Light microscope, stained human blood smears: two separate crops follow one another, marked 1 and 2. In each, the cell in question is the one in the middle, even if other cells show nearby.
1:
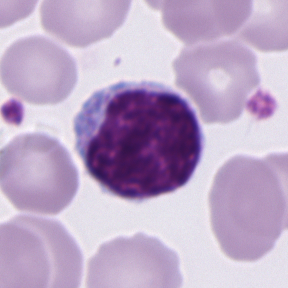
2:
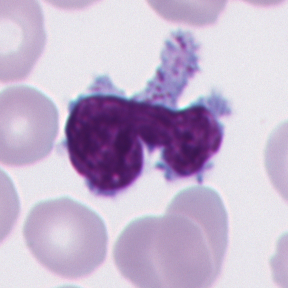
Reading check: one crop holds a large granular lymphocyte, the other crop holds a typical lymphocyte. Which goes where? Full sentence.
The cell at the centre of crop 1 is a typical lymphocyte, and at the centre of crop 2, a large granular lymphocyte.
